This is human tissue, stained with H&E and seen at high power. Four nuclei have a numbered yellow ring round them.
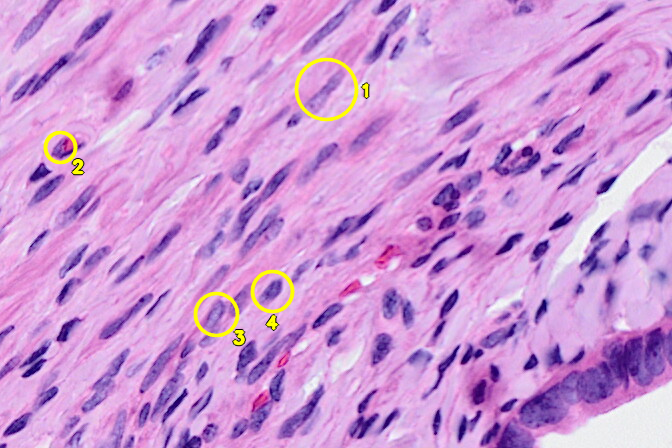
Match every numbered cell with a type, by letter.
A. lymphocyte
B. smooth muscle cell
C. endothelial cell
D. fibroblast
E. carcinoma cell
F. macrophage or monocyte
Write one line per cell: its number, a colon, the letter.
1: B
2: C
3: B
4: B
